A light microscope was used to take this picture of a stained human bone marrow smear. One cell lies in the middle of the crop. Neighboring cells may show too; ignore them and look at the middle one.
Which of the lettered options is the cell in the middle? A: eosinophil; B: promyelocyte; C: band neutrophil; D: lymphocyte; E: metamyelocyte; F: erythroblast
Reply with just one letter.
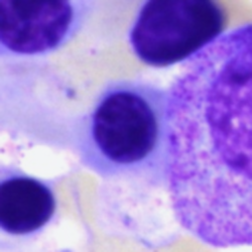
F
